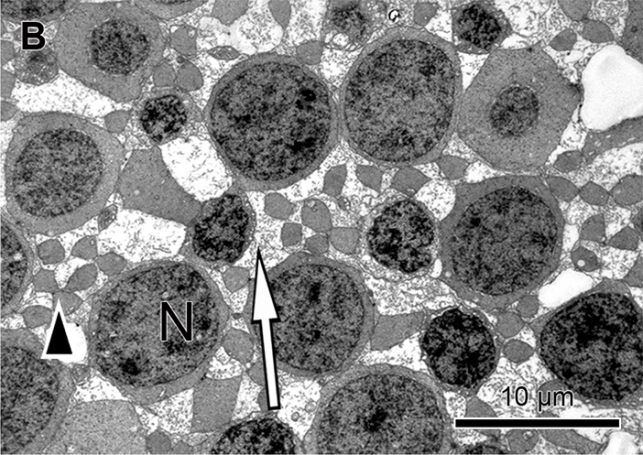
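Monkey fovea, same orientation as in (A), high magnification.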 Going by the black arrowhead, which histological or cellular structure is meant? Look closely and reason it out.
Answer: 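The arrowhead points to a small, round, grey, electron-dense profile among pale material. That points to this answer: Henle fibre.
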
